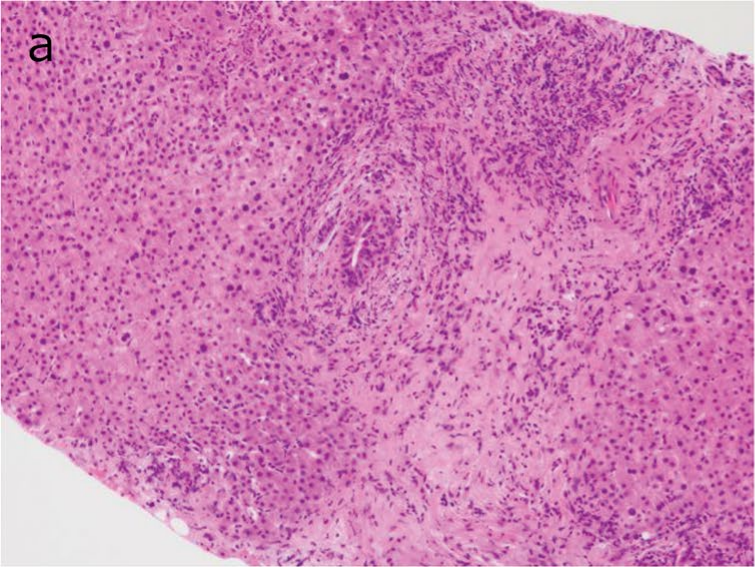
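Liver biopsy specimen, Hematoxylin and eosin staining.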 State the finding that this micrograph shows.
fibrous expansion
